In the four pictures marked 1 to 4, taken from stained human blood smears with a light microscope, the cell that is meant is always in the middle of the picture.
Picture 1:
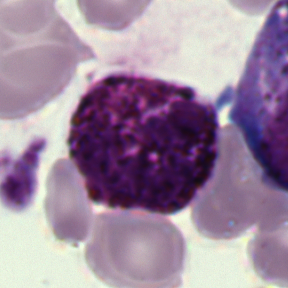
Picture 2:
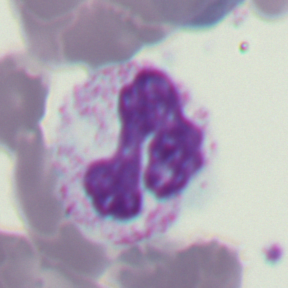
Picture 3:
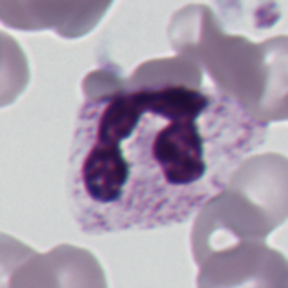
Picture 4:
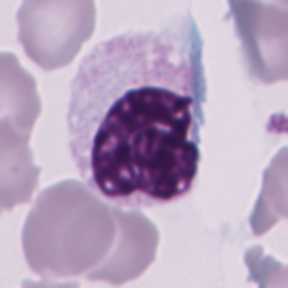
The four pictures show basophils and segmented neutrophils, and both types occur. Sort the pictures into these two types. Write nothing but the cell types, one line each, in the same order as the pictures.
basophil
segmented neutrophil
segmented neutrophil
segmented neutrophil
